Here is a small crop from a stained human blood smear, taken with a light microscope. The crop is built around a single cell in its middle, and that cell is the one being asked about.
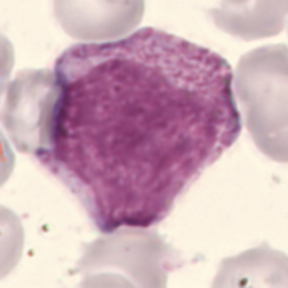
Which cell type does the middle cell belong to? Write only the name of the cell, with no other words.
myelocyte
